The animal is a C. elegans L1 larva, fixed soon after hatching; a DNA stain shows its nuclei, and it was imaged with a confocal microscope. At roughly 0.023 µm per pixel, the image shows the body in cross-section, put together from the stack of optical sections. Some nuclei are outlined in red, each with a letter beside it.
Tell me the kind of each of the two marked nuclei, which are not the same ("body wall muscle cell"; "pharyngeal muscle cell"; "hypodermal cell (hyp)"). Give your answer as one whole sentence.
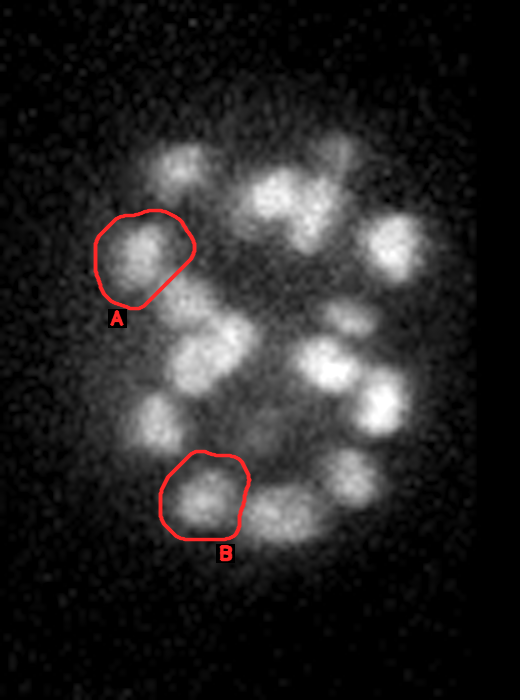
A is in a hypodermal cell (hyp) and B is in a body wall muscle cell.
